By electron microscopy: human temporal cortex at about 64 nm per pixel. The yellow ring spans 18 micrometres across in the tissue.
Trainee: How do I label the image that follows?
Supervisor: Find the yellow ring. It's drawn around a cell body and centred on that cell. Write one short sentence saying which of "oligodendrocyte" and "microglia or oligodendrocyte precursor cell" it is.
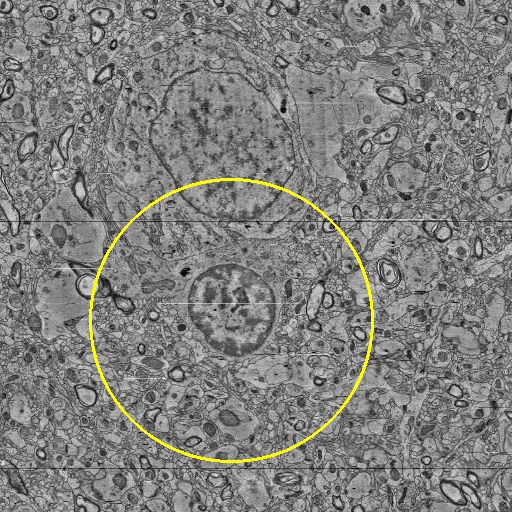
This is the cell body of an oligodendrocyte.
